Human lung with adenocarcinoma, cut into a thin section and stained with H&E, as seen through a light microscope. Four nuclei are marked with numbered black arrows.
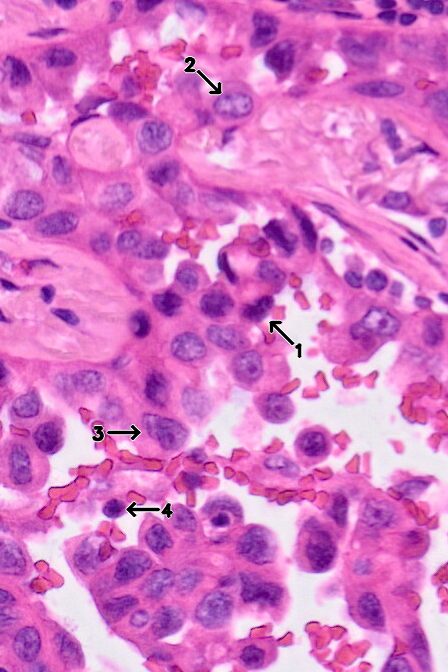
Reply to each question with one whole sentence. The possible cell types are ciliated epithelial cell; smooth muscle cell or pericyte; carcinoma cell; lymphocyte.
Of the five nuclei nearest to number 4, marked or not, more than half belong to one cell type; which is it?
Around number 4, most of the five nearest nuclei are those of carcinoma cells.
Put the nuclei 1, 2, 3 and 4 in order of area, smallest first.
By area, going up from the smallest, they rank 4, 1, 2, 3.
